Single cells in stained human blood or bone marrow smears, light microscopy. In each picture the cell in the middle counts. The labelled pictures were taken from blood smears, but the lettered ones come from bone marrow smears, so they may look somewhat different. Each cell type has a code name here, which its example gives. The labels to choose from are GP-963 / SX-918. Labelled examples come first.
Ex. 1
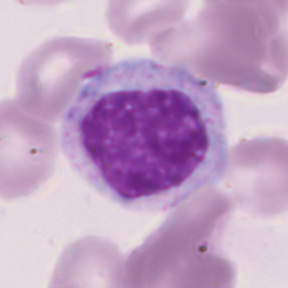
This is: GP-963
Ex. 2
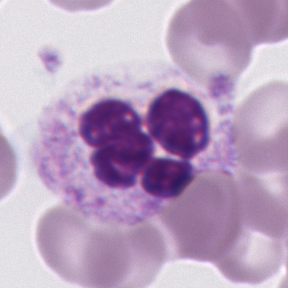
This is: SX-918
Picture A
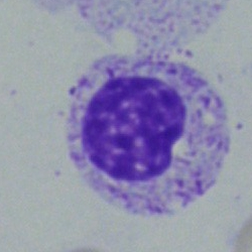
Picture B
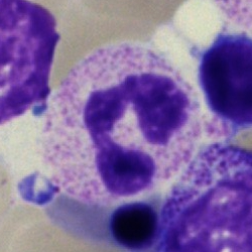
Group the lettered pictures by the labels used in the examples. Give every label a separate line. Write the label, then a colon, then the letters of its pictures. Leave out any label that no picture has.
GP-963: A
SX-918: B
